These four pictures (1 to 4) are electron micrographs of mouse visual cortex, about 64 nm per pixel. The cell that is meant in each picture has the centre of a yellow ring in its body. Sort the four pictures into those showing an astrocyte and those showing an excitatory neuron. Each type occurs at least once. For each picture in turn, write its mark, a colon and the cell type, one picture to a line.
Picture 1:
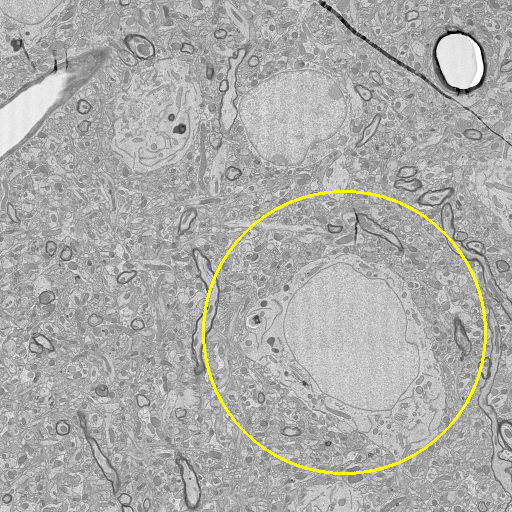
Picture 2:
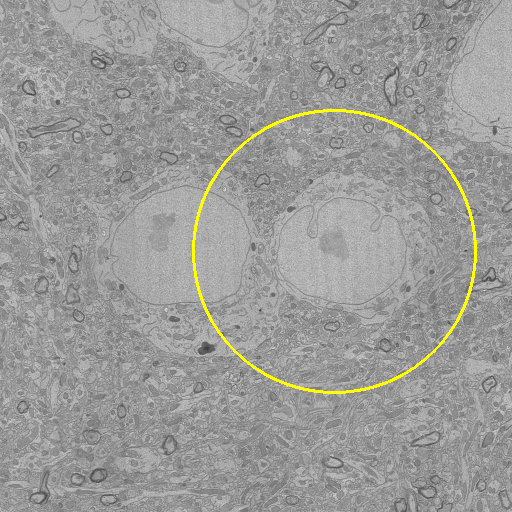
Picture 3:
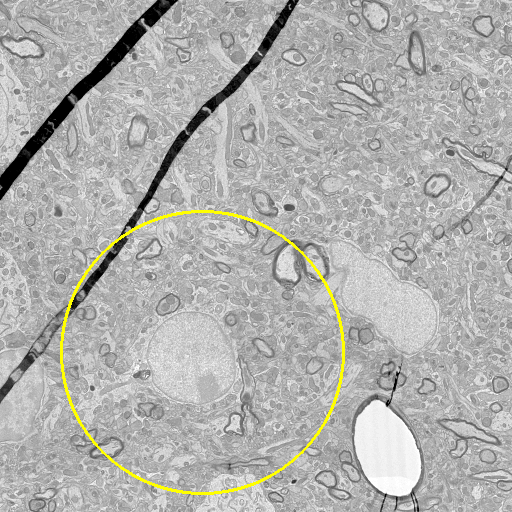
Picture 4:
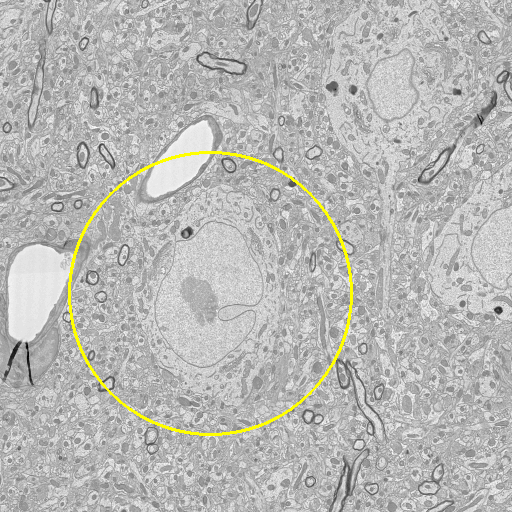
1: excitatory neuron
2: excitatory neuron
3: astrocyte
4: excitatory neuron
